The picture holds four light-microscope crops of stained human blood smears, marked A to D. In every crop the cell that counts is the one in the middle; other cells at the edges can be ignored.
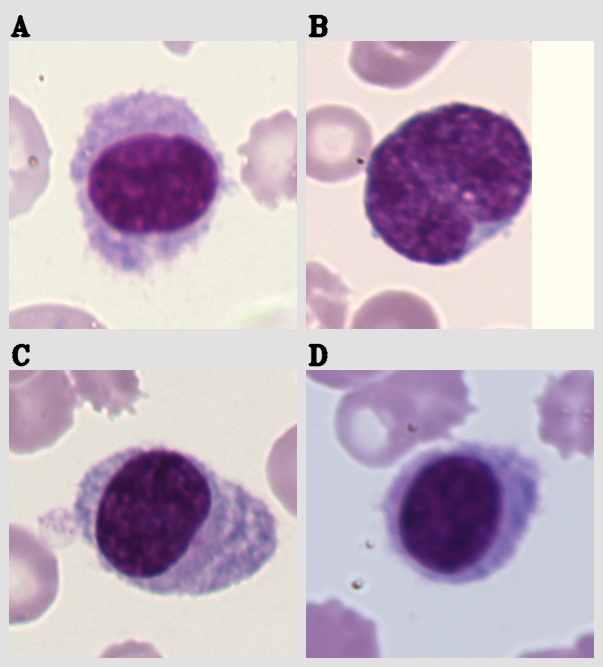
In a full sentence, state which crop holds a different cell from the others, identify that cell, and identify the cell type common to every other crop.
The crops all show hairy cells, with the exception of crop B, which shows a myeloblast.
